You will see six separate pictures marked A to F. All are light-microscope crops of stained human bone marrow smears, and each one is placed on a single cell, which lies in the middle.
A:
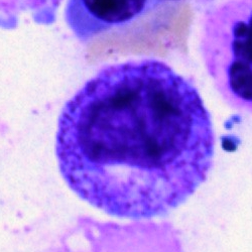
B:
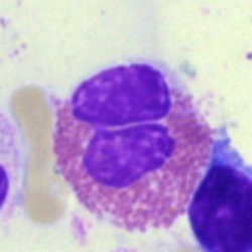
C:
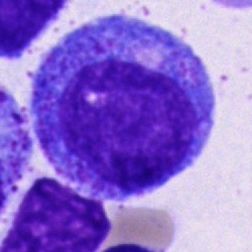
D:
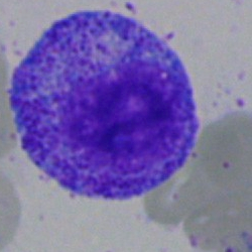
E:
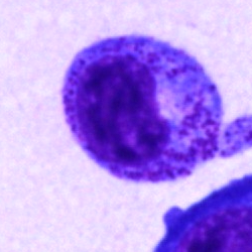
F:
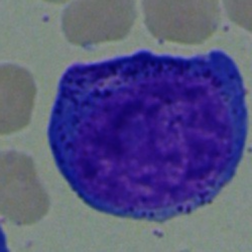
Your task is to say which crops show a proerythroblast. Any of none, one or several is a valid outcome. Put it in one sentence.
There is not one crop in the group that shows a proerythroblast.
